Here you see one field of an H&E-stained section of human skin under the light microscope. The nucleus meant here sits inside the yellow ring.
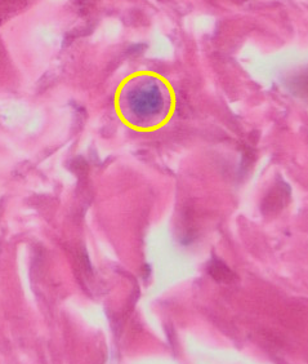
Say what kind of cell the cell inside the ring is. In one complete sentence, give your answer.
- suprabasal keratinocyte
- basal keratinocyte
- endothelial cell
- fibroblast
As for its identity, the cell inside the ring is a fibroblast.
